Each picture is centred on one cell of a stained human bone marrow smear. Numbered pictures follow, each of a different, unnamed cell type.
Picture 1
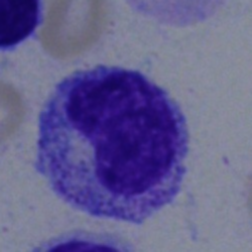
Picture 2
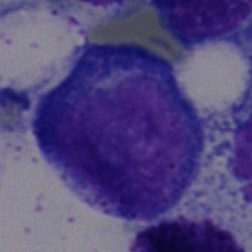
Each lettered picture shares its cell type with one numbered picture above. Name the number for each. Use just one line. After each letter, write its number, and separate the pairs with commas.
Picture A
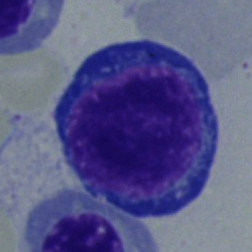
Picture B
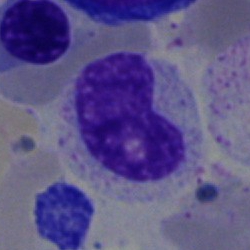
A 2, B 1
